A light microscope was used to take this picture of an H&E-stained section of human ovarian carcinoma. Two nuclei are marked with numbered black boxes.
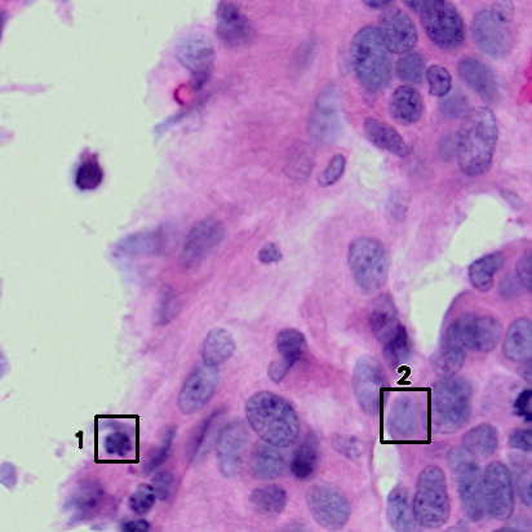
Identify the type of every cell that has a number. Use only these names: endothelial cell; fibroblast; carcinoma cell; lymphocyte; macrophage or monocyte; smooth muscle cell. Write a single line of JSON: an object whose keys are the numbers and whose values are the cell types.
{"1": "lymphocyte", "2": "carcinoma cell"}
